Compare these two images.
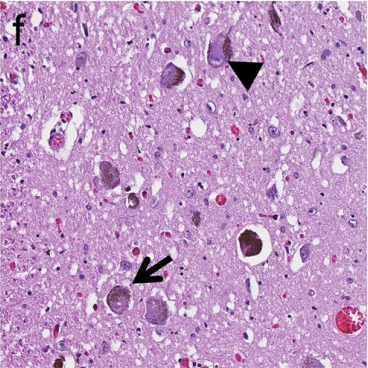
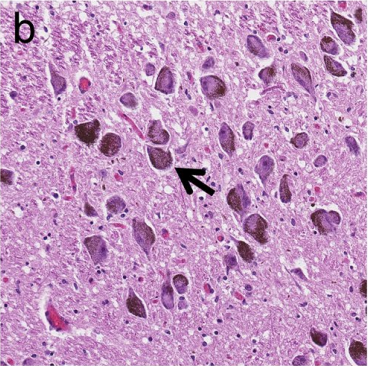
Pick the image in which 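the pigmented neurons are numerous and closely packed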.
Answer: The second image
